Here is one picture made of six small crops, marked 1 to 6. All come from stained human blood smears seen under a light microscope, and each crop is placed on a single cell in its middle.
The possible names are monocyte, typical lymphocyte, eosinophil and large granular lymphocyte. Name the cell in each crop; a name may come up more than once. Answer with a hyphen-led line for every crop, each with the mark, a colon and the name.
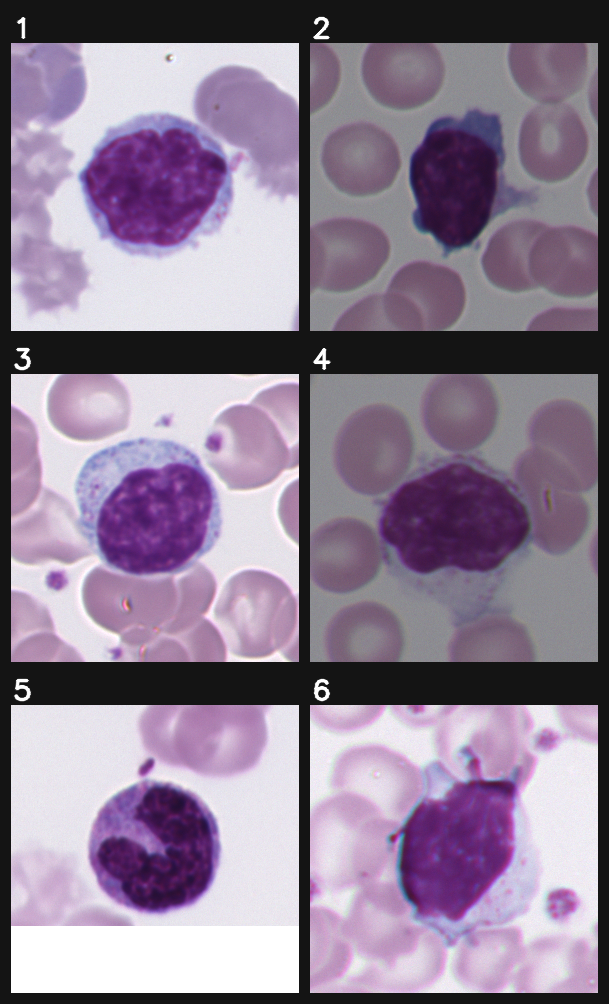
- 1: typical lymphocyte
- 2: typical lymphocyte
- 3: large granular lymphocyte
- 4: large granular lymphocyte
- 5: monocyte
- 6: large granular lymphocyte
